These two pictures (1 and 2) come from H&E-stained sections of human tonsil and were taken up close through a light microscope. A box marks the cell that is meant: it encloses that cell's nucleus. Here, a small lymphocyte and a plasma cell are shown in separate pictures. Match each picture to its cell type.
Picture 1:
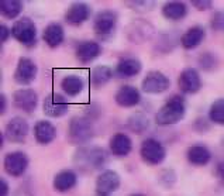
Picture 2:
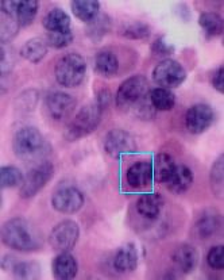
1: small lymphocyte
2: plasma cell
